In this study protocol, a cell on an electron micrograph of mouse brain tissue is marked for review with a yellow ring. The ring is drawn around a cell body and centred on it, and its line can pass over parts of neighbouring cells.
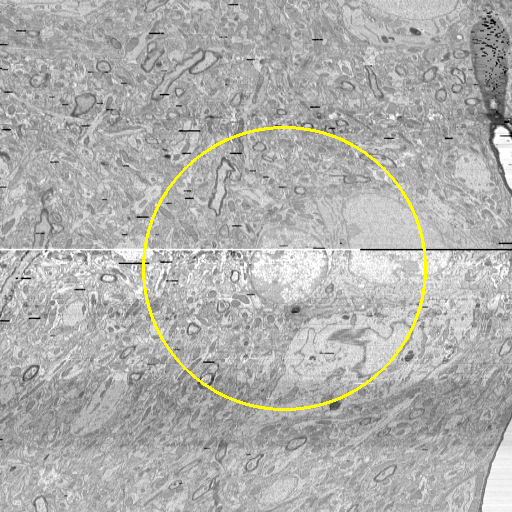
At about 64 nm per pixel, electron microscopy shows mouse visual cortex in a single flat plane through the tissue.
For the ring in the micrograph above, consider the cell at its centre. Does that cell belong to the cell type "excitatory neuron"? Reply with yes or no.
no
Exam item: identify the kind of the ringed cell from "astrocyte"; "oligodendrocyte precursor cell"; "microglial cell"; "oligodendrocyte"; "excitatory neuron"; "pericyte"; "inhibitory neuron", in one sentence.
Here, the ring is centred on an oligodendrocyte instead.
